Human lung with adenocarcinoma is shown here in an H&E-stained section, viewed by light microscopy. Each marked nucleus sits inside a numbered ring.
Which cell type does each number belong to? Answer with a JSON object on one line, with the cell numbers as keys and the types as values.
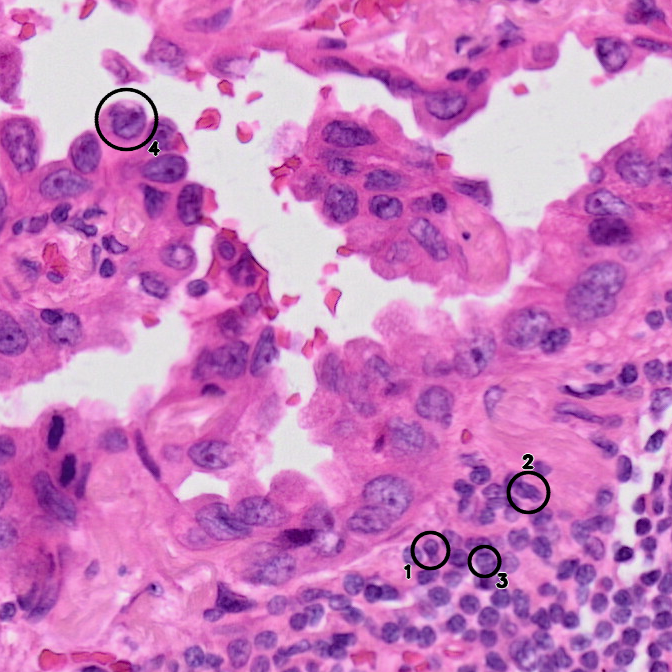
{"1": "lymphocyte", "2": "lymphocyte", "3": "lymphocyte", "4": "carcinoma cell"}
